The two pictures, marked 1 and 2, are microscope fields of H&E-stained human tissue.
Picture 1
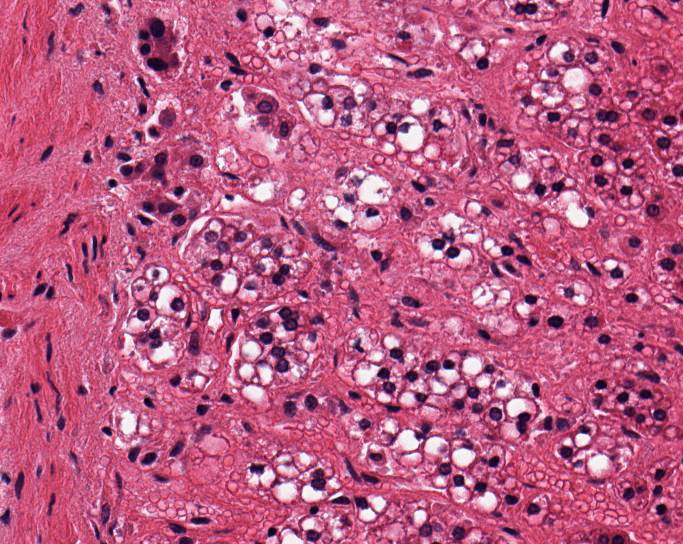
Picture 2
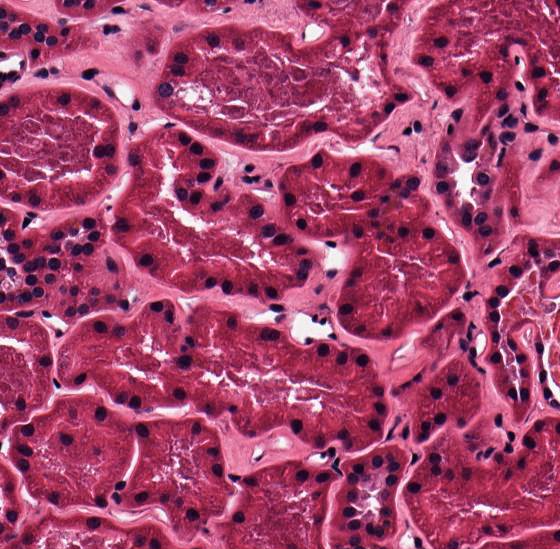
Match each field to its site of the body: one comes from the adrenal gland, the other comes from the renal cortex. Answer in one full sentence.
Picture 1 comes from the adrenal gland; picture 2 comes from the renal cortex.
